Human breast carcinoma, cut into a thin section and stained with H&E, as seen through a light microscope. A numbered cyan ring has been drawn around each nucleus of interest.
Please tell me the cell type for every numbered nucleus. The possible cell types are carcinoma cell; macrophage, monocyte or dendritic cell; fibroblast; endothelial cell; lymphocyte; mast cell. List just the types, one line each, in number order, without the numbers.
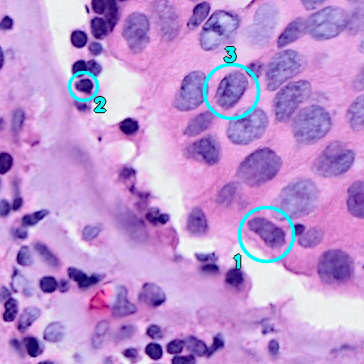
carcinoma cell
lymphocyte
carcinoma cell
